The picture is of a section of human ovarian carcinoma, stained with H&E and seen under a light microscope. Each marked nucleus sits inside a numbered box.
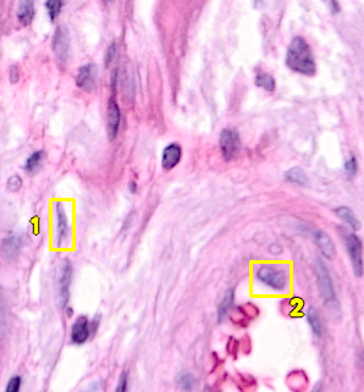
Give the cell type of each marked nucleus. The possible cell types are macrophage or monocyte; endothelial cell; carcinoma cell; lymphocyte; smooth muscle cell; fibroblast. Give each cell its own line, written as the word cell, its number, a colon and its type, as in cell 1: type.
cell 1: fibroblast
cell 2: endothelial cell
